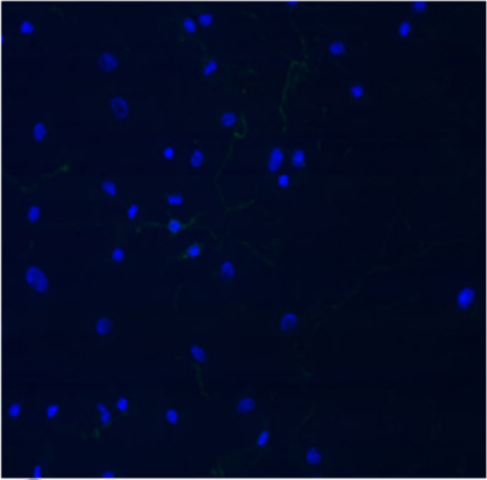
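Dispersed cultured cells, seen as oval blue nuclei scattered singly over a dark field. Faint thin green threads run between some of the nuclei, with no strongly labelled cell bodies.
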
